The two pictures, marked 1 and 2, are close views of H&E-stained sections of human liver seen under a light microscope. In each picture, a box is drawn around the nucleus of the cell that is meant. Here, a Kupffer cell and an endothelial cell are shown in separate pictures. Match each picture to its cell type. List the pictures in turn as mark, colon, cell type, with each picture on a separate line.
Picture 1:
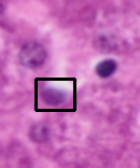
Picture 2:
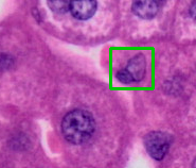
1: endothelial cell
2: Kupffer cell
